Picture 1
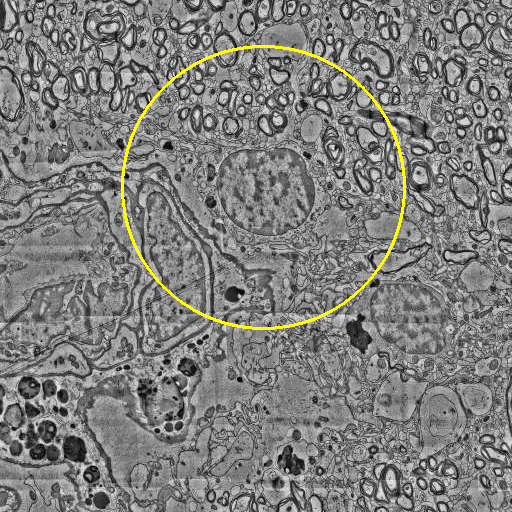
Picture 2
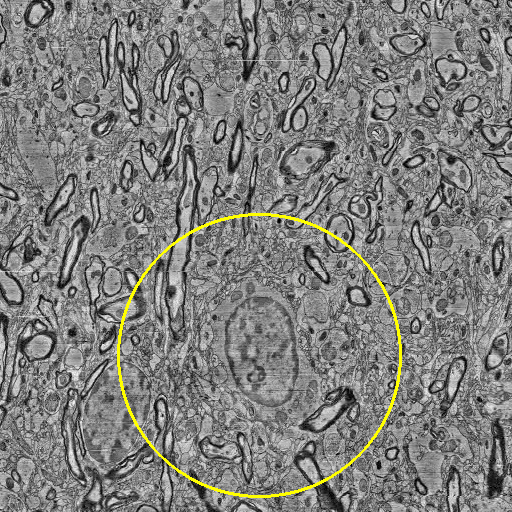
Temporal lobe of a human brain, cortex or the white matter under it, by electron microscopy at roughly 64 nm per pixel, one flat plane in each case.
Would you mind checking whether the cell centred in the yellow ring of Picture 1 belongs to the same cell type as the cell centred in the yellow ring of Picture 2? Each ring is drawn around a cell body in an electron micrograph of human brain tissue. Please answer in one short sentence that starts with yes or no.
No, the two cells are of two types.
